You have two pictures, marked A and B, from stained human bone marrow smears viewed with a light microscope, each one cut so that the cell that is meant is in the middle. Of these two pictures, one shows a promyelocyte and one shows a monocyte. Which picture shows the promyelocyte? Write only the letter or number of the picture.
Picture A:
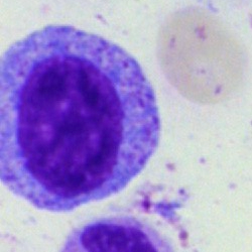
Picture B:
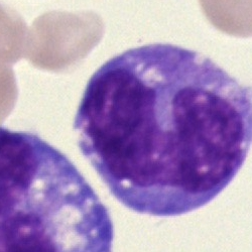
A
